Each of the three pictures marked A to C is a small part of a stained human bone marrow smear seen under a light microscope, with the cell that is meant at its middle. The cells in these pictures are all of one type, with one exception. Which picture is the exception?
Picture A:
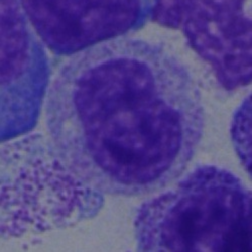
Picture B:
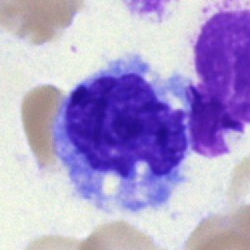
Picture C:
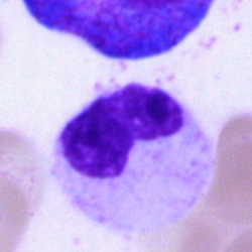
B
